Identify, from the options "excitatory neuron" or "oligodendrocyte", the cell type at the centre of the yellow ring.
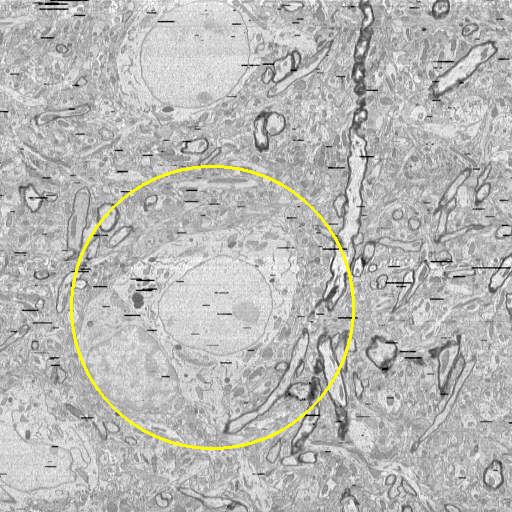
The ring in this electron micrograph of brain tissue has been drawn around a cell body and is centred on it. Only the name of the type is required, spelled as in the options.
excitatory neuron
